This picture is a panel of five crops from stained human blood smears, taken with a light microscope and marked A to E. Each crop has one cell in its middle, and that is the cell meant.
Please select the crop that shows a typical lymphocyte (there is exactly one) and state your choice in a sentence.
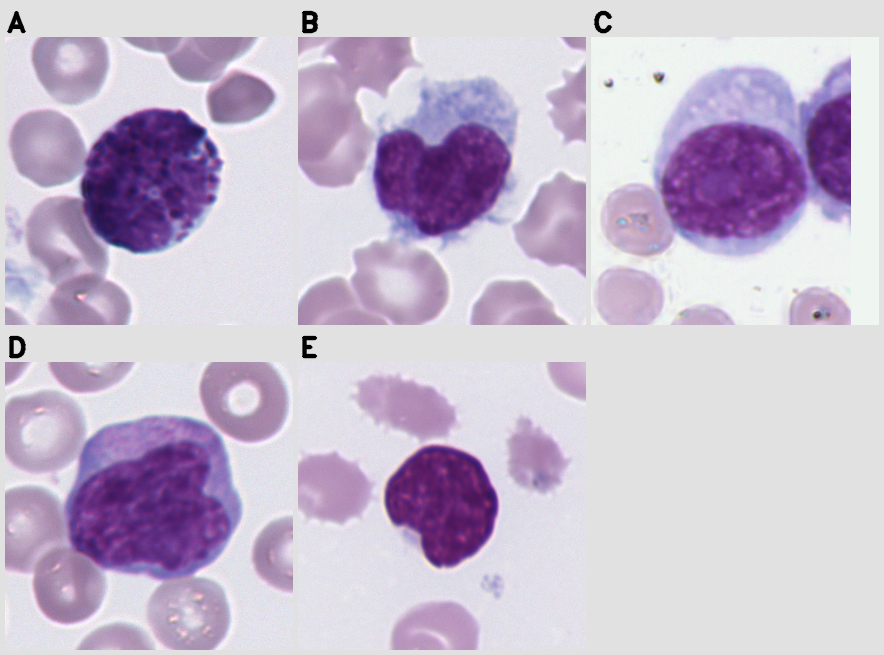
Within this set, crop E is the one with a typical lymphocyte at its center.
